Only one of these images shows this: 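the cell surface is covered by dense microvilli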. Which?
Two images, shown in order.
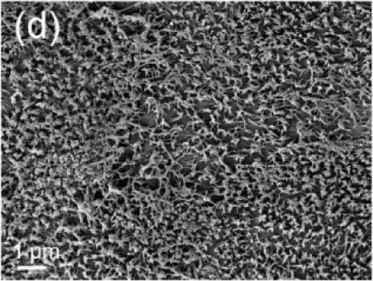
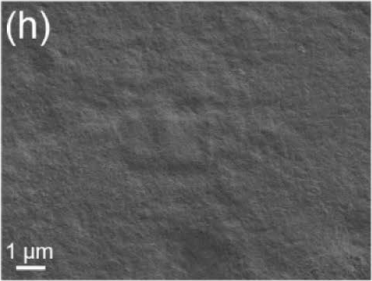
The first image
